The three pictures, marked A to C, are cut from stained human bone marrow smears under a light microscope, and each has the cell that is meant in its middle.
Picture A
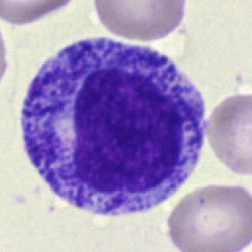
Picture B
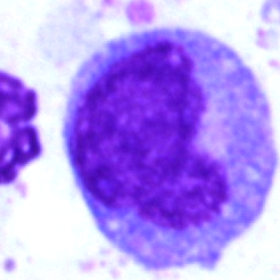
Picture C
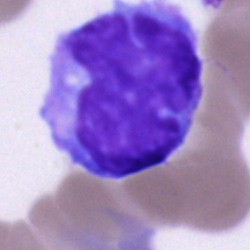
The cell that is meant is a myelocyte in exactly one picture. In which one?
A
